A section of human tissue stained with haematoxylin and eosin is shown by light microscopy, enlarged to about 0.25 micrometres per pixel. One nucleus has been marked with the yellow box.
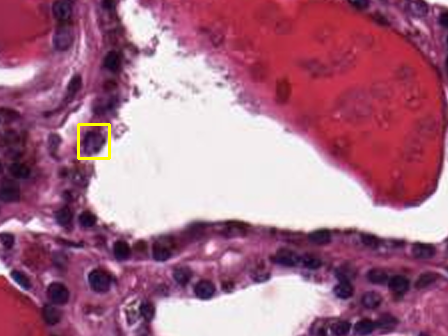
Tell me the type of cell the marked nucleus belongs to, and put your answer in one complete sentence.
On this slide, the marked nucleus belongs to a thyroid follicular cell.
